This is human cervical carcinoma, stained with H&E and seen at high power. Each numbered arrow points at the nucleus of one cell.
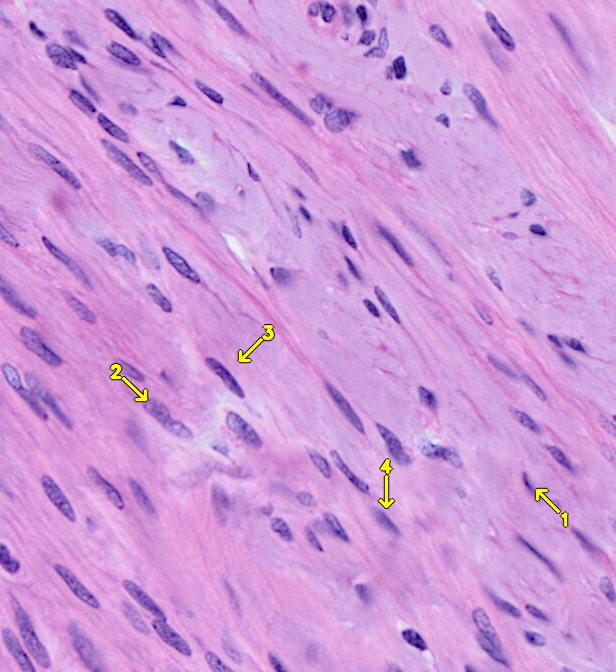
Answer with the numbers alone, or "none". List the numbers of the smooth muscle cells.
2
